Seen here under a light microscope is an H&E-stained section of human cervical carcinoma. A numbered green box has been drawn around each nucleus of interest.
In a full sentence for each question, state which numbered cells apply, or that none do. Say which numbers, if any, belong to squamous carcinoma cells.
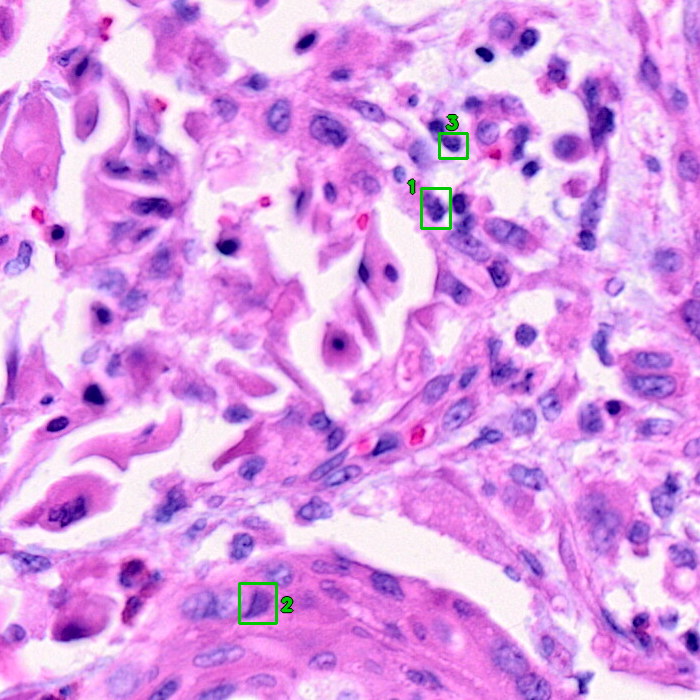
Only the cell numbered 2 is a squamous carcinoma cell; none of the others is.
